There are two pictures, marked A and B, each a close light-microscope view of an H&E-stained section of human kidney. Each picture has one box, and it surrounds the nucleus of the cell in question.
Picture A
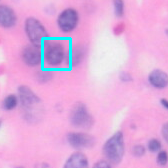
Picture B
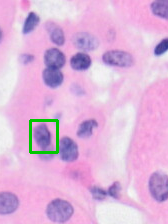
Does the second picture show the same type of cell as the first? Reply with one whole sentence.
Yes, both cells are collecting duct cells.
